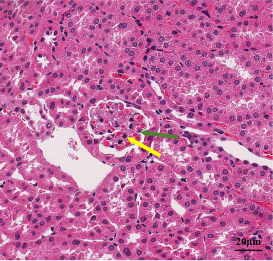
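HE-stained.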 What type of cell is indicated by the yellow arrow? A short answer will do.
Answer: Mesangial cells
